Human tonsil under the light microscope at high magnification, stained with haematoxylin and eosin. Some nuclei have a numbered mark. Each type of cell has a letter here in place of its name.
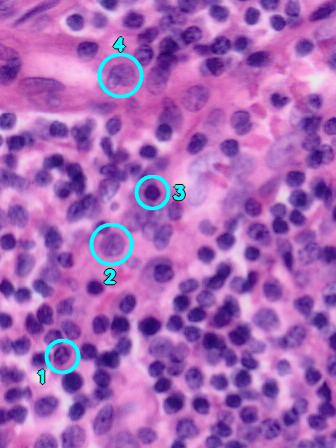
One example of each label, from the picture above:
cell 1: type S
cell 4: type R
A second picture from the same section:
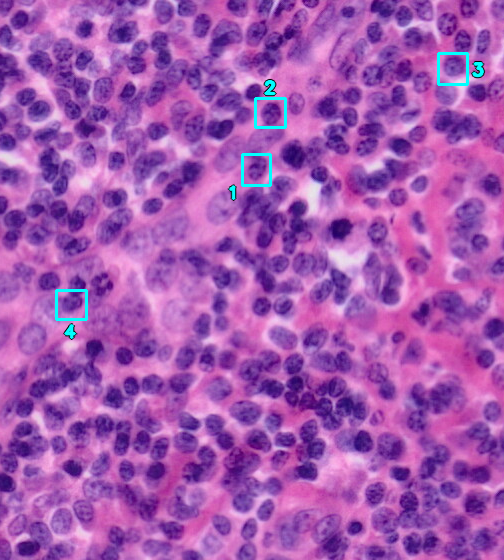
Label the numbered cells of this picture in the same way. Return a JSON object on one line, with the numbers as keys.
{"1": "type R", "2": "type R", "3": "type S", "4": "type R"}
